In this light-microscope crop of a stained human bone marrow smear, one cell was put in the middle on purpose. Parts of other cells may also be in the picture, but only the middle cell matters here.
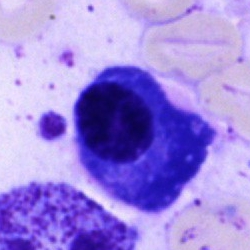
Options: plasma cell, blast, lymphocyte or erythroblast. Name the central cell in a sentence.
What sits at the centre of this crop is a plasma cell.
